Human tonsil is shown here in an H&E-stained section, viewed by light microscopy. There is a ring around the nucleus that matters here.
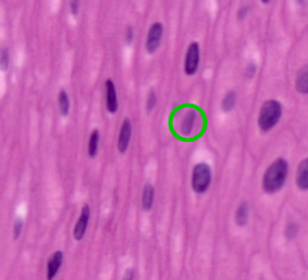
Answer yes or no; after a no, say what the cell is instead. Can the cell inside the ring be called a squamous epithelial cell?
Yes.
